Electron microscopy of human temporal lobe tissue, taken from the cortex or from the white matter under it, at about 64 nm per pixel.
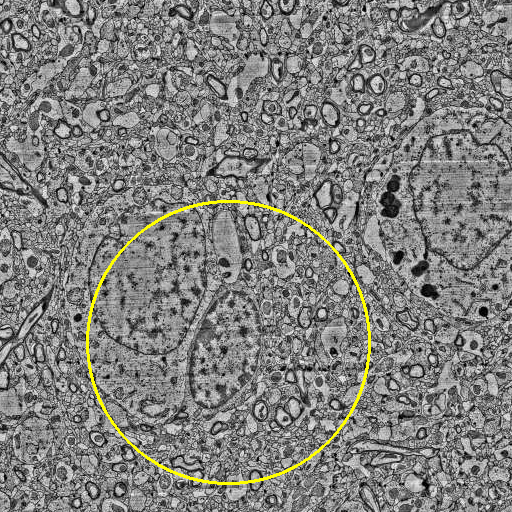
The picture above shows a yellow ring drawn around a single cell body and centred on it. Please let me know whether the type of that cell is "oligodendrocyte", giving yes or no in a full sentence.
Yes, that type fits the cell at the centre of the ring above.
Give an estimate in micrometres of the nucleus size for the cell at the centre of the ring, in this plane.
The nucleus measures about 8 by 4 micrometres, so it is clearly longer than it is wide in this plane.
